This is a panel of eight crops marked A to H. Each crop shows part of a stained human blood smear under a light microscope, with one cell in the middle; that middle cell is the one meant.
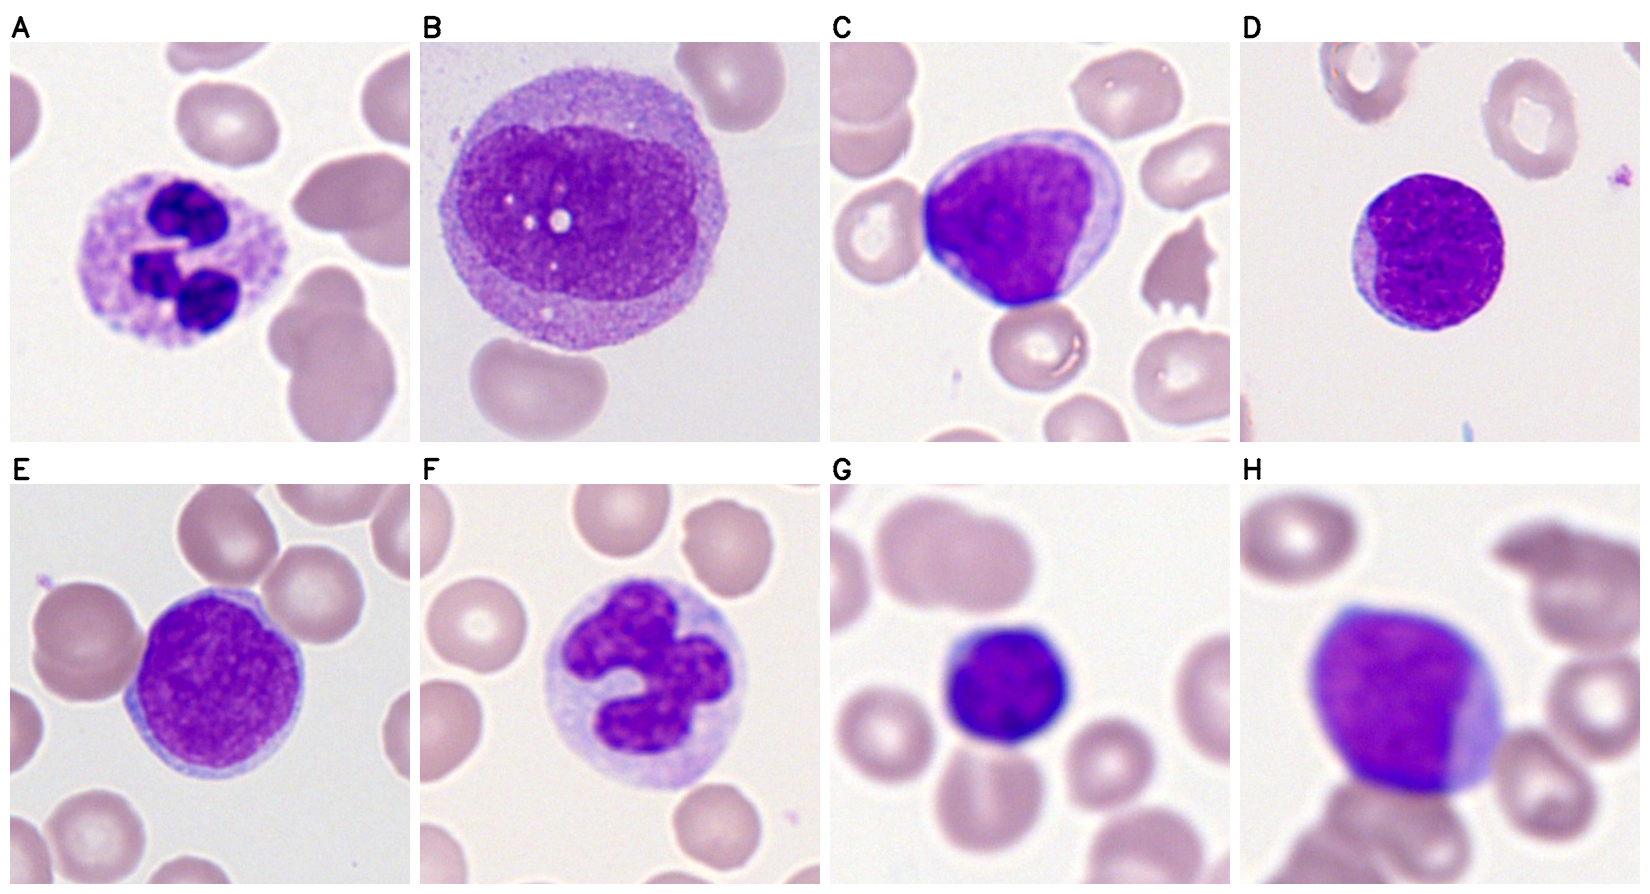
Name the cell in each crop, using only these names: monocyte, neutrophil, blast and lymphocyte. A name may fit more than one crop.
A: neutrophil
B: blast
C: blast
D: blast
E: blast
F: monocyte
G: lymphocyte
H: blast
